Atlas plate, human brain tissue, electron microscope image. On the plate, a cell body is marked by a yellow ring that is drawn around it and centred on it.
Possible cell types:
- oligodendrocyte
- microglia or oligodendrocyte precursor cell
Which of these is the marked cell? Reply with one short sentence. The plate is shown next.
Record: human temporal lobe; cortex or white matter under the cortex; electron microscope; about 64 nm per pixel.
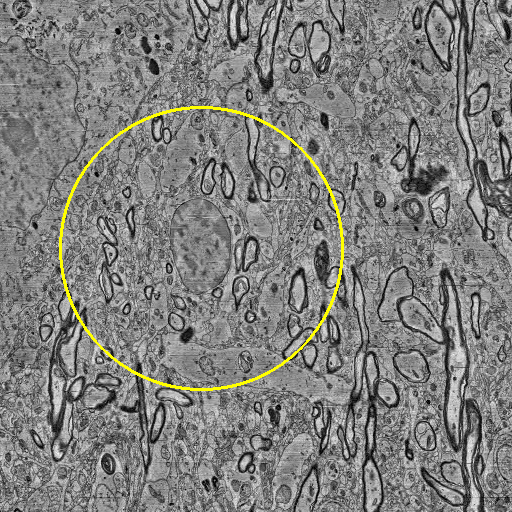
The marked cell is a microglial cell or oligodendrocyte precursor cell.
